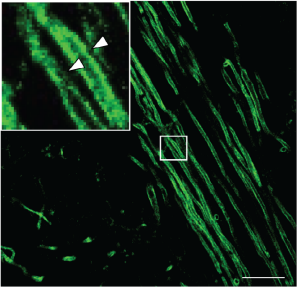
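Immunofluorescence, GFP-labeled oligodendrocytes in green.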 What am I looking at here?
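In the magnified inset the green outlines individual fibres as sheath-like tubes with brighter edges. At the lower left fewer, shorter and more scattered green profiles are seen. No rounded cell bodies stand out clearly; the pattern is that of sheaths wrapping parallel fibres in a tract.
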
